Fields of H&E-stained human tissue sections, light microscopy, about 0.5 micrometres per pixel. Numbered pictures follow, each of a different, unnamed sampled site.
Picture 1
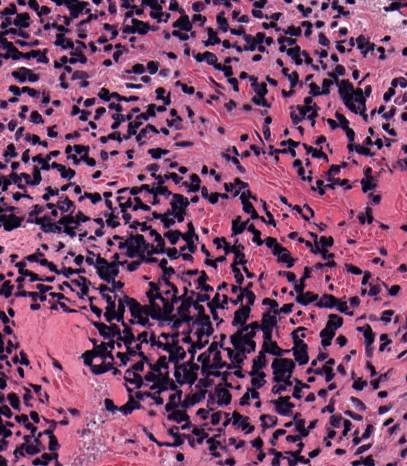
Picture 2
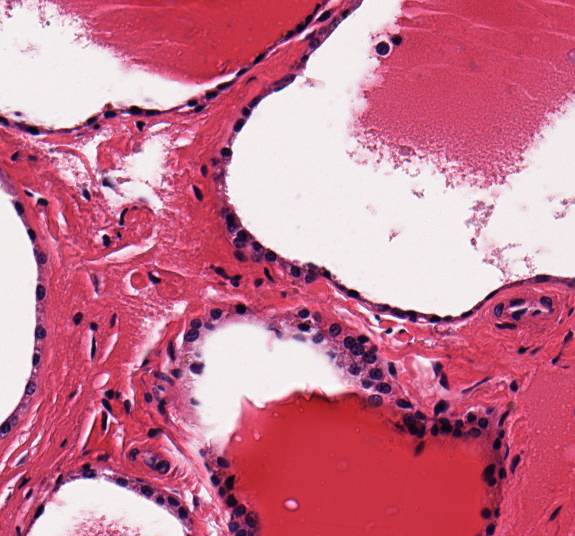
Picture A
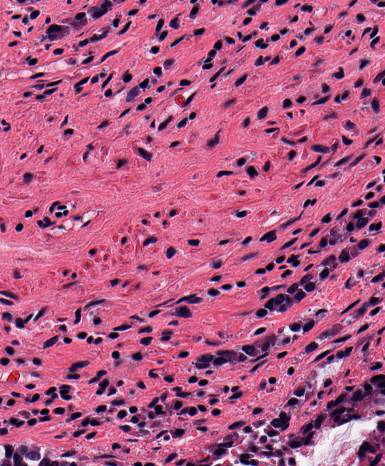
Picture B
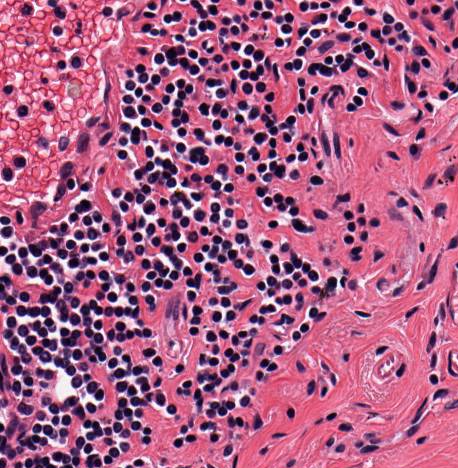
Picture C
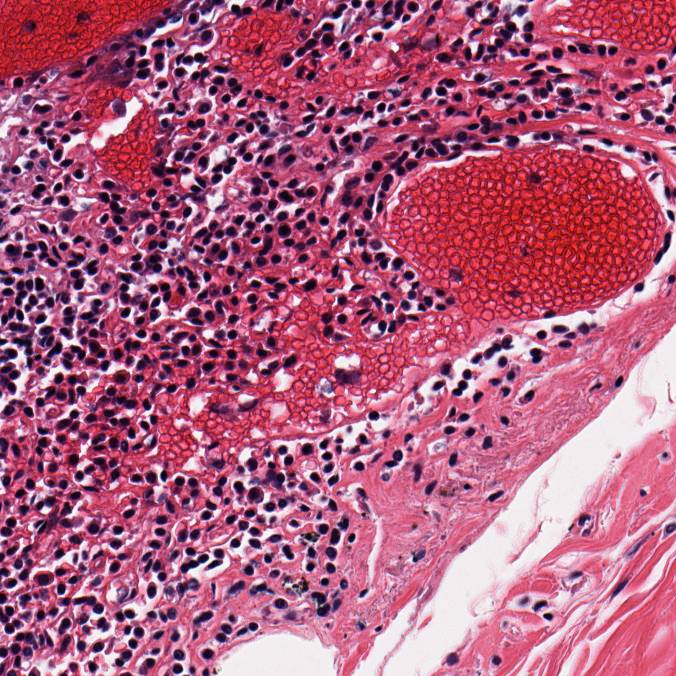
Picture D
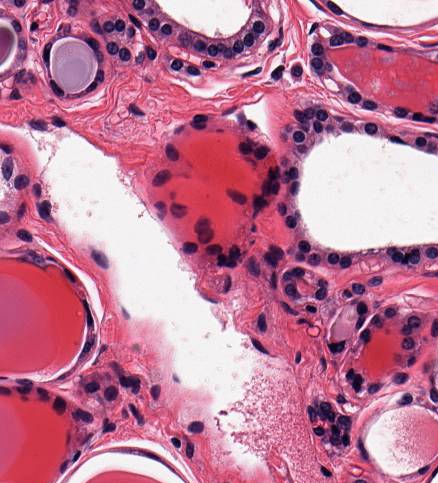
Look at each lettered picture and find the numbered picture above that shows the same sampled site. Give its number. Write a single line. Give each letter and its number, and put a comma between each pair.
A 1, B 1, C 1, D 2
